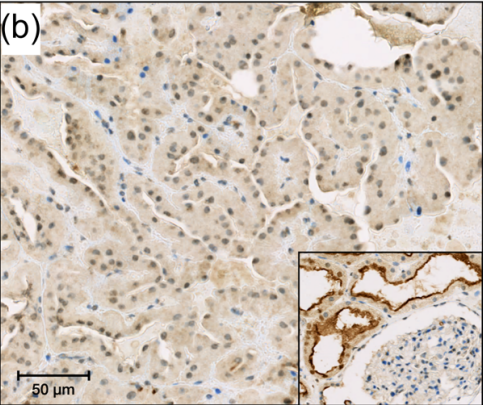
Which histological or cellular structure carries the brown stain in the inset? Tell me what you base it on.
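The inset shows tubules with a brown line along their luminal surface. The tubules have open lumina lined by a single layer of cells. The answer: proximal renal tubules.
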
